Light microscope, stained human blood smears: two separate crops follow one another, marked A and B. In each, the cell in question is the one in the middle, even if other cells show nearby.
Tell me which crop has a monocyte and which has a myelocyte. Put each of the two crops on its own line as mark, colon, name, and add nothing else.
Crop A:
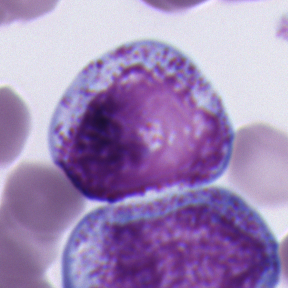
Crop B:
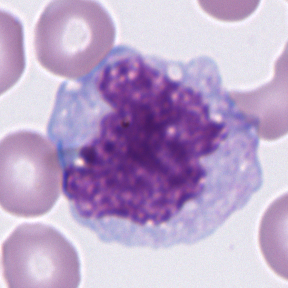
A: myelocyte
B: monocyte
